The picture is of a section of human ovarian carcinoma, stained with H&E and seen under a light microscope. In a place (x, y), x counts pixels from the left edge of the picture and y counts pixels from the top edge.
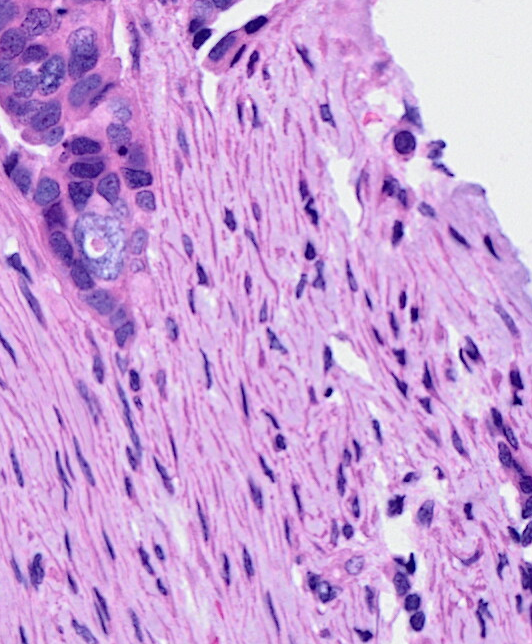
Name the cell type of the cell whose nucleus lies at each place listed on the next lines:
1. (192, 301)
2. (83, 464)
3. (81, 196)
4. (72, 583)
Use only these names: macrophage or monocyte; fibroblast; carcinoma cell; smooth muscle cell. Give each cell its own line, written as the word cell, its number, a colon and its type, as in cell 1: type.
cell 1: fibroblast
cell 2: fibroblast
cell 3: carcinoma cell
cell 4: fibroblast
